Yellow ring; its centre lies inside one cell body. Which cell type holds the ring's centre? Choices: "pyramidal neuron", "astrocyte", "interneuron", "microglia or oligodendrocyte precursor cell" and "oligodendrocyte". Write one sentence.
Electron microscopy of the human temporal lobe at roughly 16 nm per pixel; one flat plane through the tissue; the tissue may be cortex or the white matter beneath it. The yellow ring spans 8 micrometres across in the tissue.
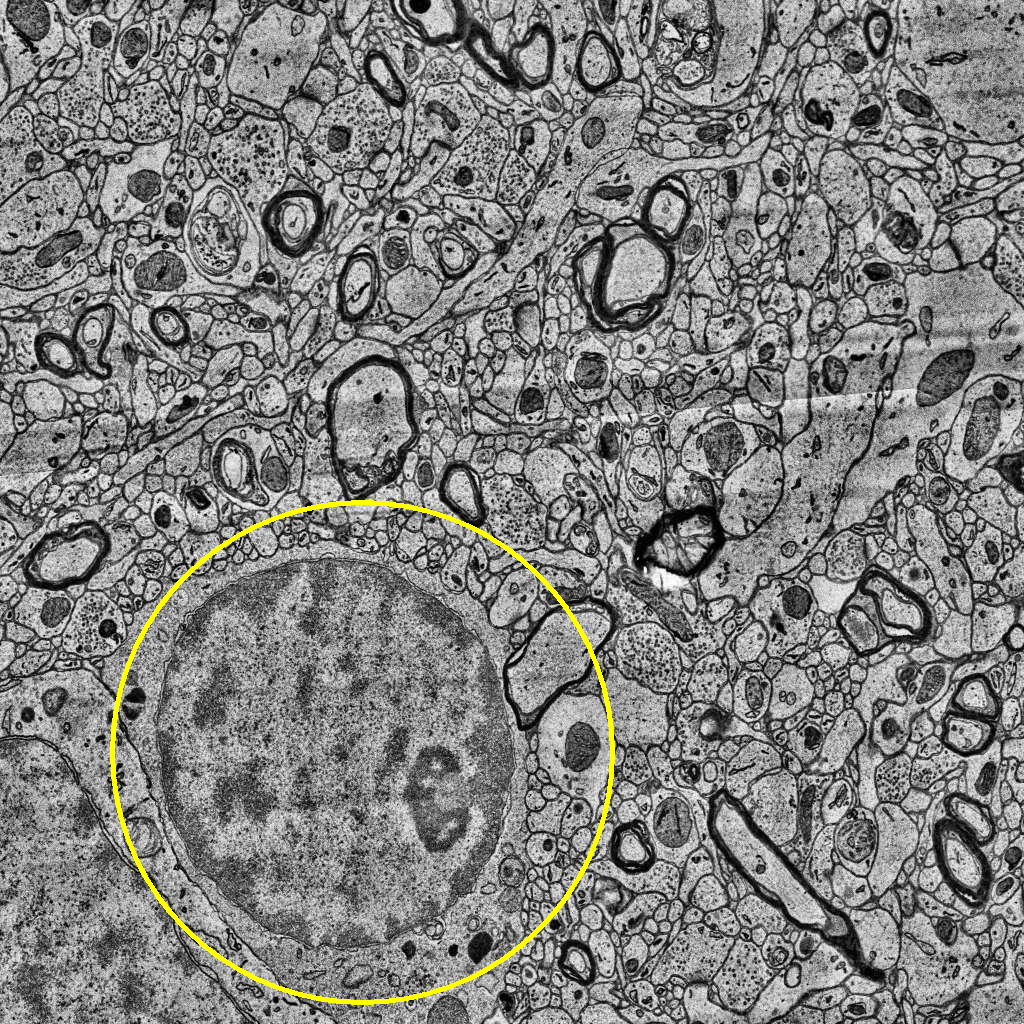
At the centre of the ring sits an oligodendrocyte.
